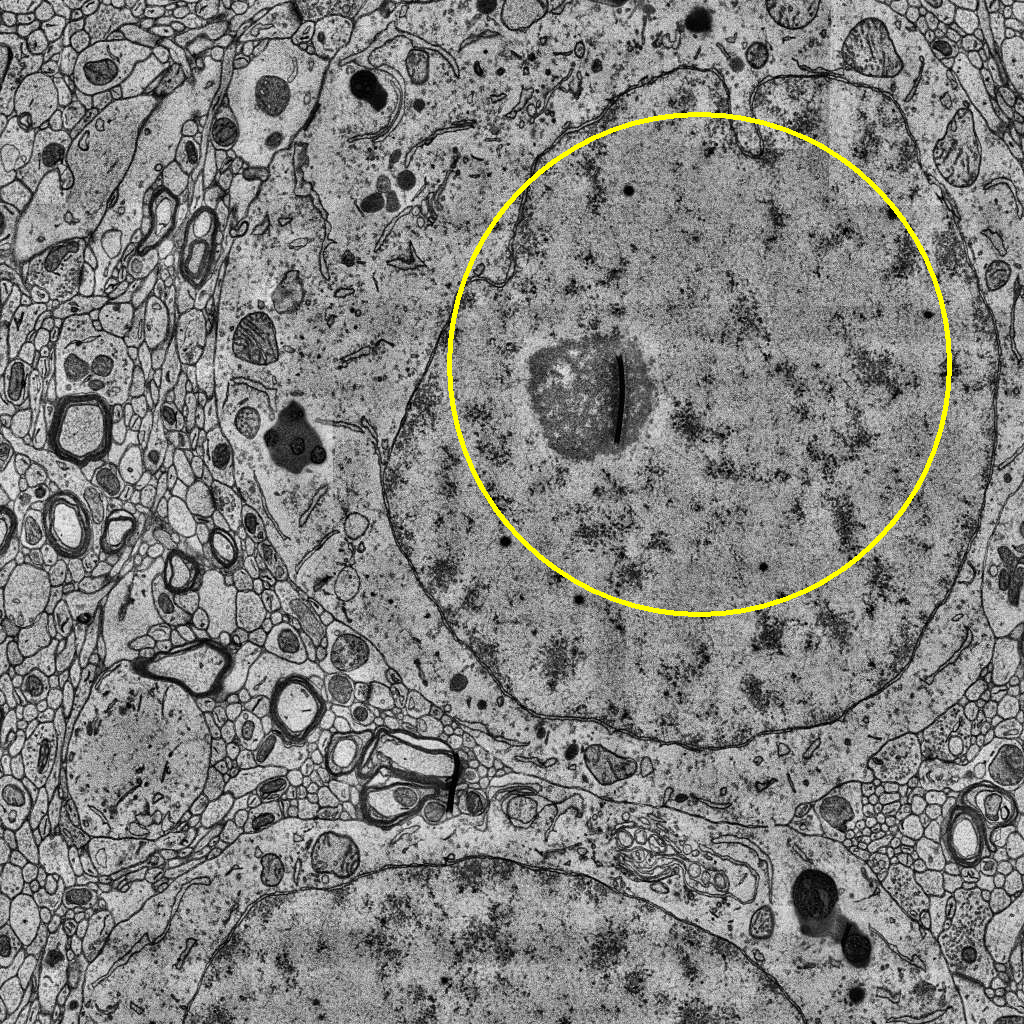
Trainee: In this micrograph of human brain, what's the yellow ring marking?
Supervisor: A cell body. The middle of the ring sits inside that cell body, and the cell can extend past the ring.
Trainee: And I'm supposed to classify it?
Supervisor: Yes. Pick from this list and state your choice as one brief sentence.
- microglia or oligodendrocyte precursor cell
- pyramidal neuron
The cell at the ring's center is a pyramidal neuron.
